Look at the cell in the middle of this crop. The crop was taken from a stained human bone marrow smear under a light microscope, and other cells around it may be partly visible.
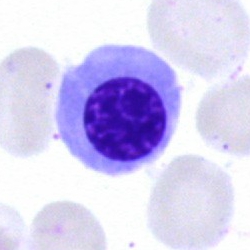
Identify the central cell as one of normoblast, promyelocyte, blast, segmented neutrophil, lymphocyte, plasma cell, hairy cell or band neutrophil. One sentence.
Positioned in the middle of the crop is a normoblast.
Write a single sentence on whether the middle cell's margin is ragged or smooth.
Happy to help: the outline is smooth and shows no projections.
